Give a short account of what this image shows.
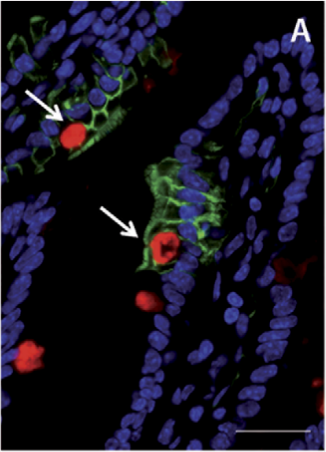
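Sections of intestinal villi are lined by a single layer of columnar epithelial cells with elongated blue nuclei. Some stretches of the epithelium have green membrane outlines, while other stretches show only blue nuclei.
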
